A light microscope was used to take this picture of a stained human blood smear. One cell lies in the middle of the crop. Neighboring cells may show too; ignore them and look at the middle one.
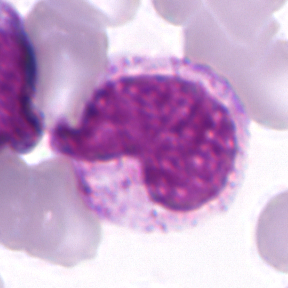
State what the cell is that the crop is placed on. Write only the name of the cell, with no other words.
band neutrophil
